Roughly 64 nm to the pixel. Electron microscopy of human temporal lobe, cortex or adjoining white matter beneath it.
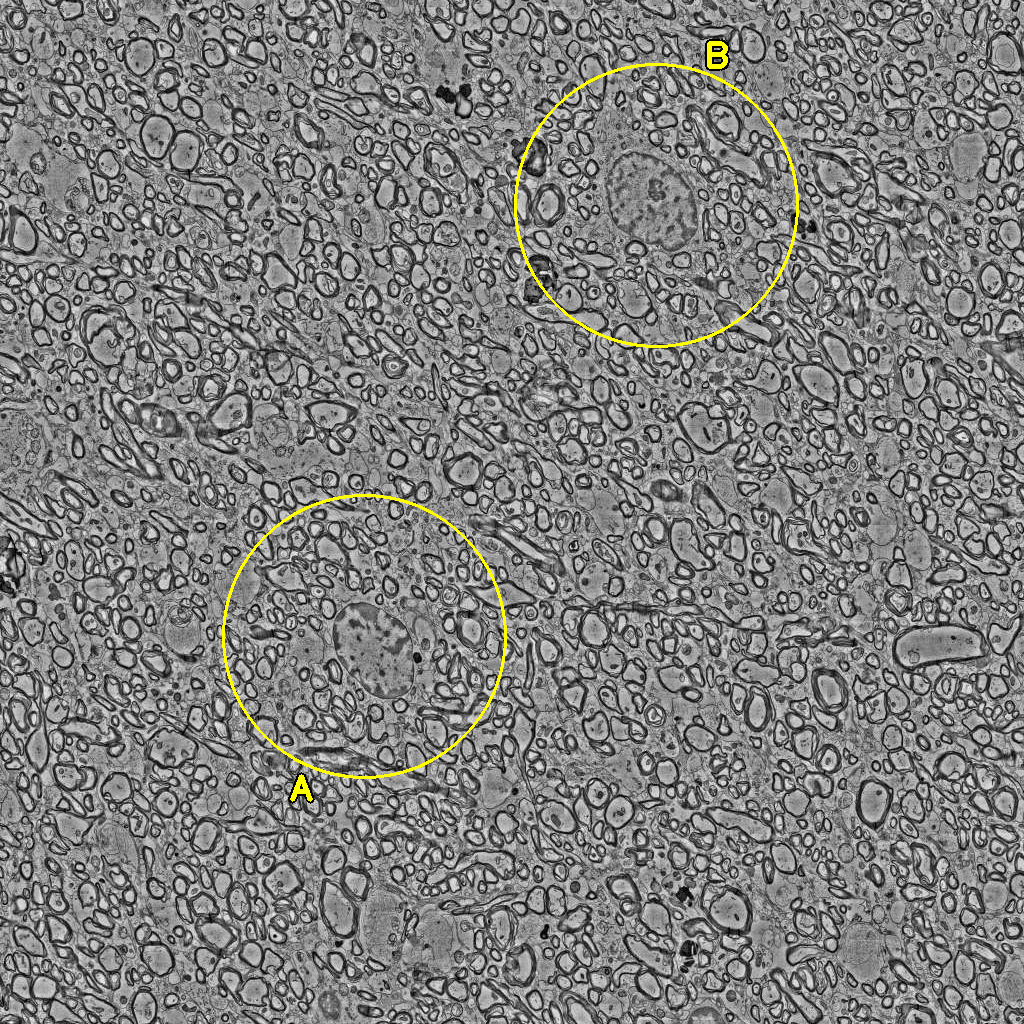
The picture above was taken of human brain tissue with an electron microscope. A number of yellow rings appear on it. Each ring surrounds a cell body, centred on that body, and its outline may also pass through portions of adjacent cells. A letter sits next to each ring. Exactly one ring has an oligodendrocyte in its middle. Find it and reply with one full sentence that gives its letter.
Letter B labels the ring whose centre falls on a cell of that kind.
